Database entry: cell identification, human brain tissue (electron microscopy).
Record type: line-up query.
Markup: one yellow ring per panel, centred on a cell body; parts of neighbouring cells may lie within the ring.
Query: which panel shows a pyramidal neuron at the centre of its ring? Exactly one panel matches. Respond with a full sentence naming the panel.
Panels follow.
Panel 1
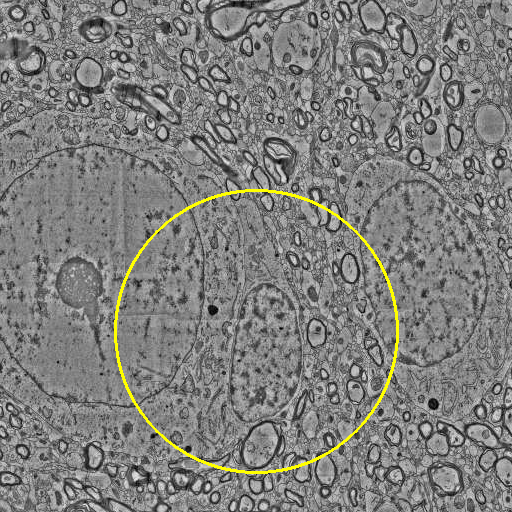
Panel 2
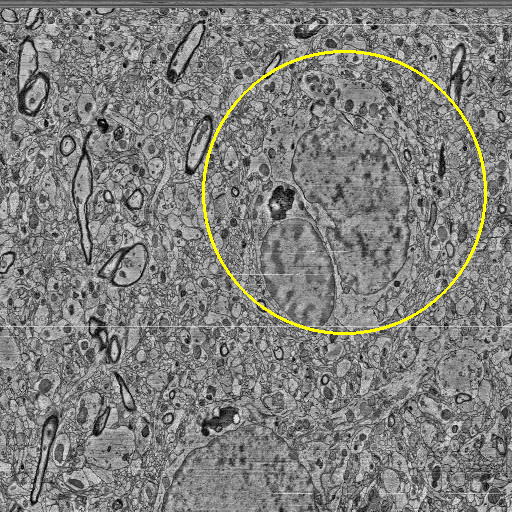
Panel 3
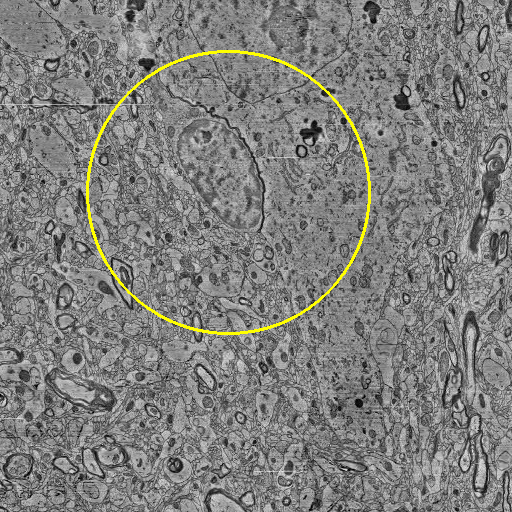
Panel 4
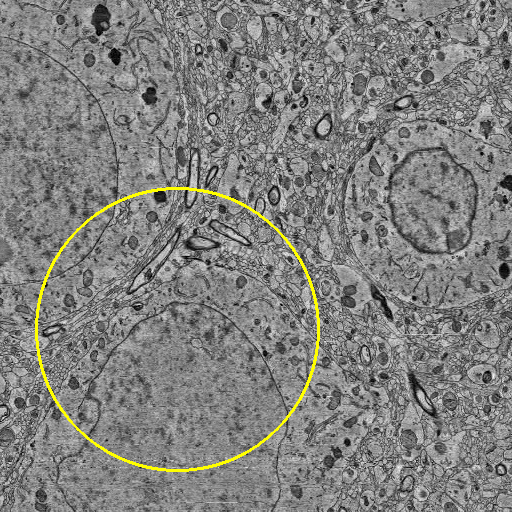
Panel 4 shows it at the centre of the ring.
